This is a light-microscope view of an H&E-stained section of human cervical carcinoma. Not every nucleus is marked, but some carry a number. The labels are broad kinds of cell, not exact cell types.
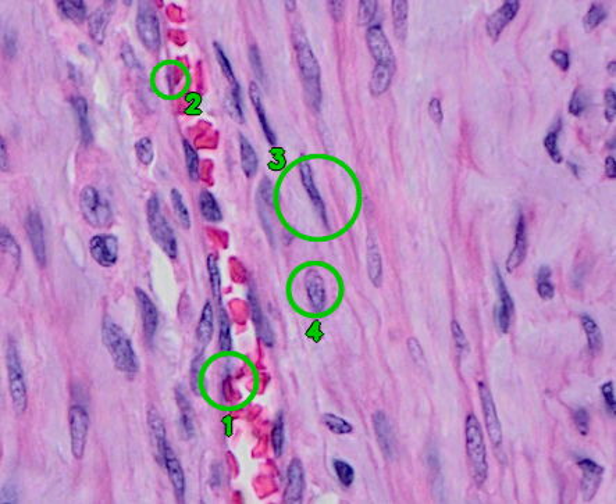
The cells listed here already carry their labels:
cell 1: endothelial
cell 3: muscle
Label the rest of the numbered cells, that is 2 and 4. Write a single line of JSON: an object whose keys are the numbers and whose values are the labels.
{"2": "endothelial", "4": "muscle"}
